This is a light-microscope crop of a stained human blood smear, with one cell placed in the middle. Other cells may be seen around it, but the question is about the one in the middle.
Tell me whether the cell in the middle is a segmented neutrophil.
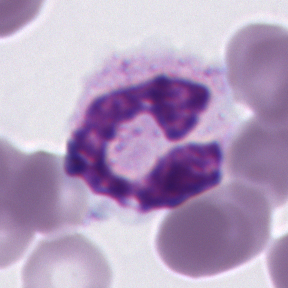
yes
